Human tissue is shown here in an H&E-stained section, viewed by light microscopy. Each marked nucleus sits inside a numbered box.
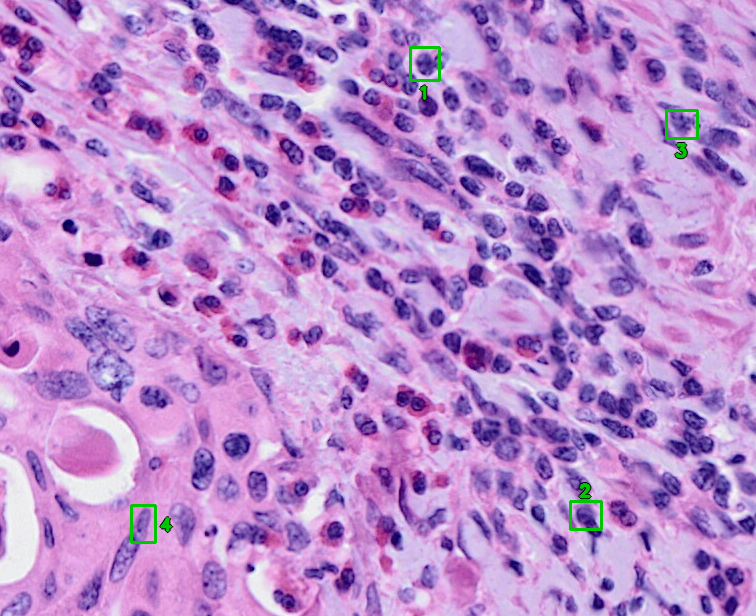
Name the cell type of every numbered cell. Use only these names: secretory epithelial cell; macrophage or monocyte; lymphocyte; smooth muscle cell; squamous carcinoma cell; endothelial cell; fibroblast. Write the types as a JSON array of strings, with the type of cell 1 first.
["lymphocyte", "lymphocyte", "lymphocyte", "squamous carcinoma cell"]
